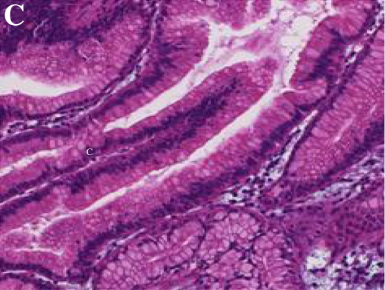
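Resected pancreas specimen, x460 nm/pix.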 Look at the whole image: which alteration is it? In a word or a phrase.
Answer: intraductal papillary mucinous adenoma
